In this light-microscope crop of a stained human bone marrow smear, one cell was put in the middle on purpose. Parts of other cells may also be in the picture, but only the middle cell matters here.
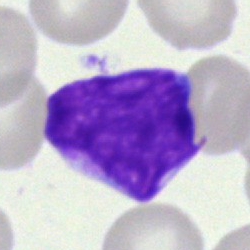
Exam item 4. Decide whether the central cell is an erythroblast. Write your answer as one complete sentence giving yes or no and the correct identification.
No, the central cell is designated a blast and not an erythroblast.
